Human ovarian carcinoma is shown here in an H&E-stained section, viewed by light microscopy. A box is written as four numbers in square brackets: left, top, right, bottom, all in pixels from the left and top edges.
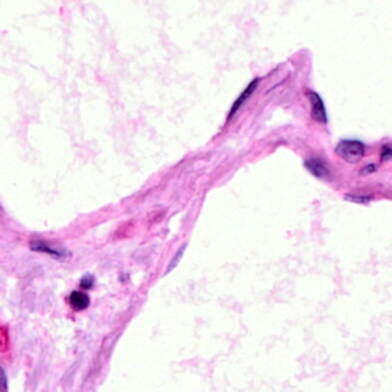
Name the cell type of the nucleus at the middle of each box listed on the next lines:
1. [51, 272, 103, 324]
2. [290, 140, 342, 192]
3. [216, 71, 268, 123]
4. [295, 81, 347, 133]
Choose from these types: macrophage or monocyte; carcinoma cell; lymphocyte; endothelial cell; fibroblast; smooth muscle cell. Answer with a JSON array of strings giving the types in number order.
["lymphocyte", "endothelial cell", "endothelial cell", "endothelial cell"]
